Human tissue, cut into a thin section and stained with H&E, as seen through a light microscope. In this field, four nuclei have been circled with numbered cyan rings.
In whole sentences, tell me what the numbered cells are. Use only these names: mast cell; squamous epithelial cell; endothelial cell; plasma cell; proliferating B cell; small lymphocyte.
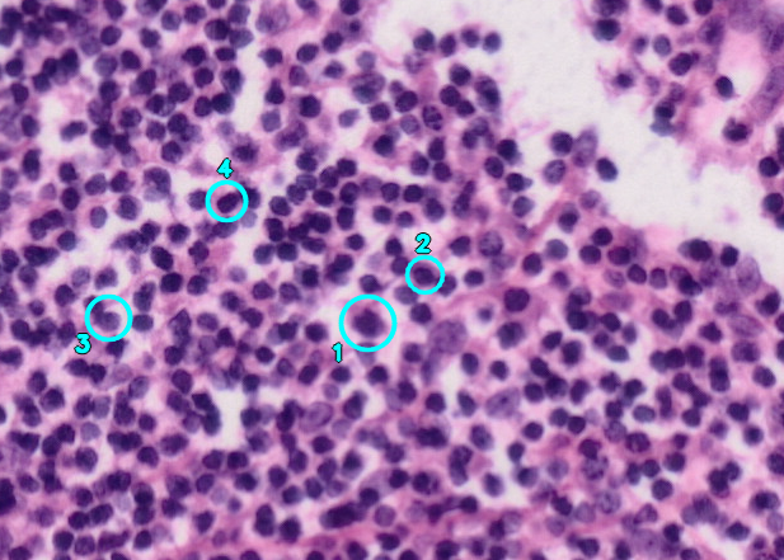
Cell 1 is a proliferating B cell, cell 2 is a small lymphocyte, cell 3 is a small lymphocyte and cell 4 is a small lymphocyte.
